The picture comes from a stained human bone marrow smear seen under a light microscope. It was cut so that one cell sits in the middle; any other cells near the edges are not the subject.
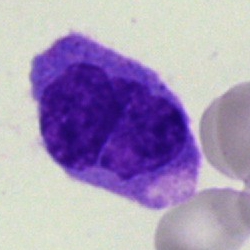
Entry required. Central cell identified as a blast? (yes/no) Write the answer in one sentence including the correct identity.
No, this is not a blast at all; the cell in the middle is a monocyte.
